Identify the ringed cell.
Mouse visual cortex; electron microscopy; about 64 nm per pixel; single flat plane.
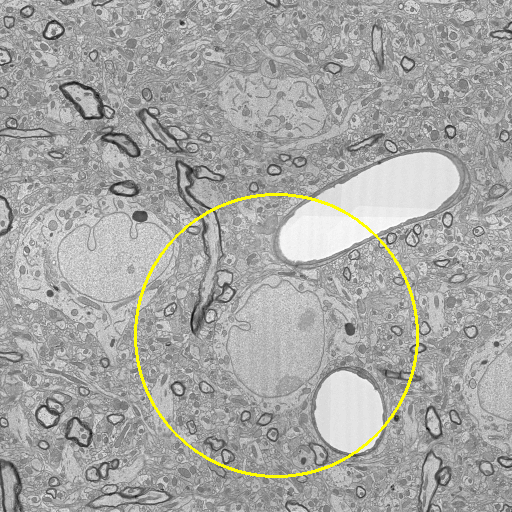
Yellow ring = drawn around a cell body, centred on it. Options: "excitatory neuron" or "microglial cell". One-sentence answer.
What the ring is centred on is an excitatory neuron.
